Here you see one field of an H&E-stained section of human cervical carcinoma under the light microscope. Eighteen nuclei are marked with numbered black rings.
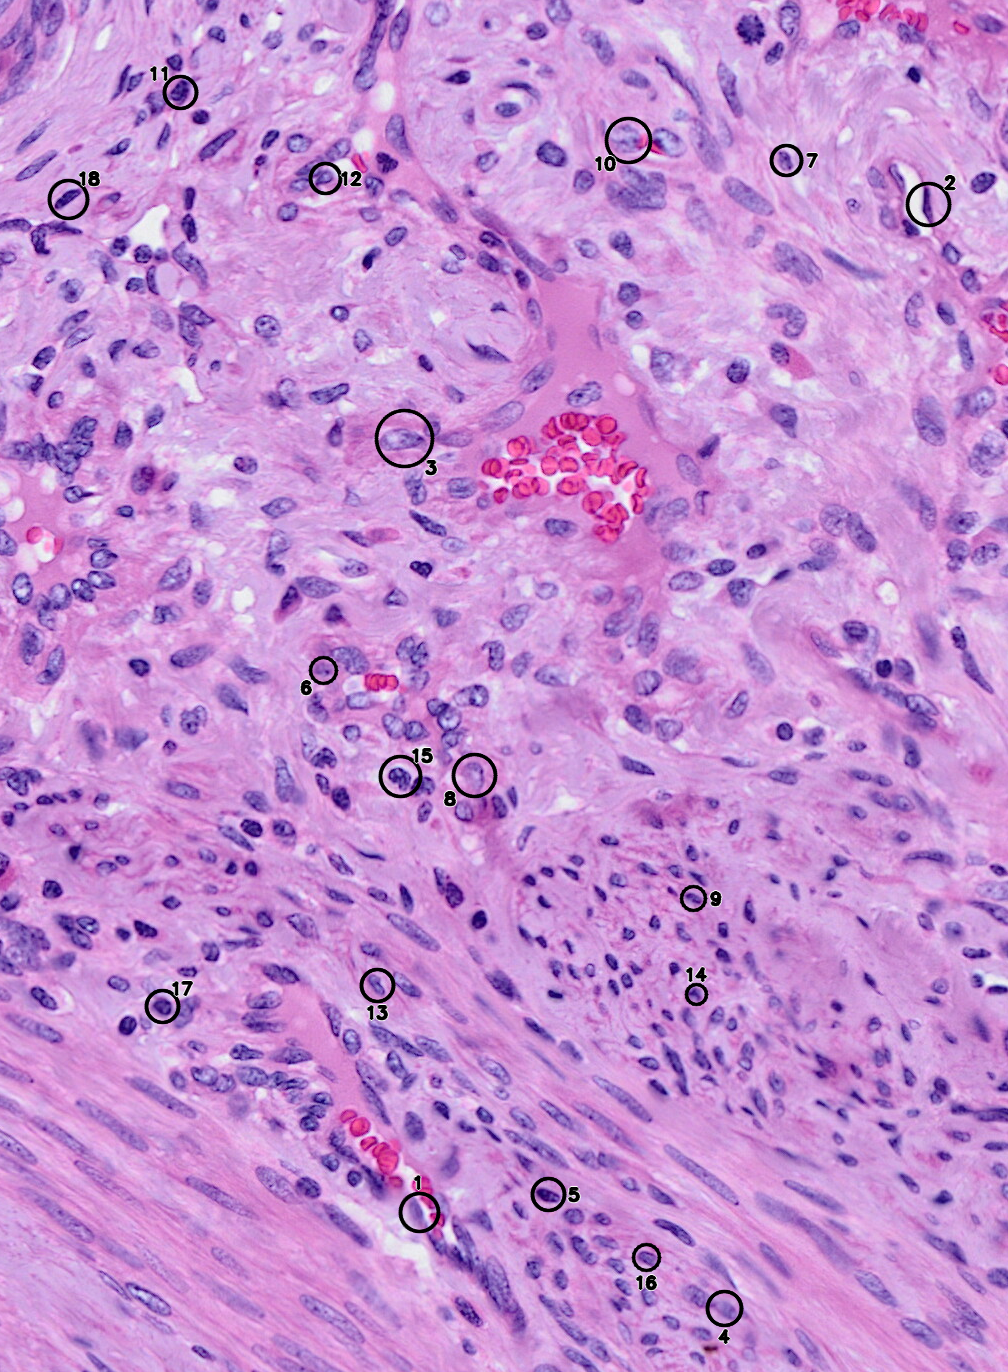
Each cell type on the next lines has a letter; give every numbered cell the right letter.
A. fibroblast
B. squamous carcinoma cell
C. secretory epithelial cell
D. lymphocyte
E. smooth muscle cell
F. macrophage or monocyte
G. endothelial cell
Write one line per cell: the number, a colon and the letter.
1: G
2: G
3: G
4: E
5: D
6: G
7: D
8: G
9: E
10: G
11: D
12: G
13: E
14: E
15: D
16: E
17: D
18: D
